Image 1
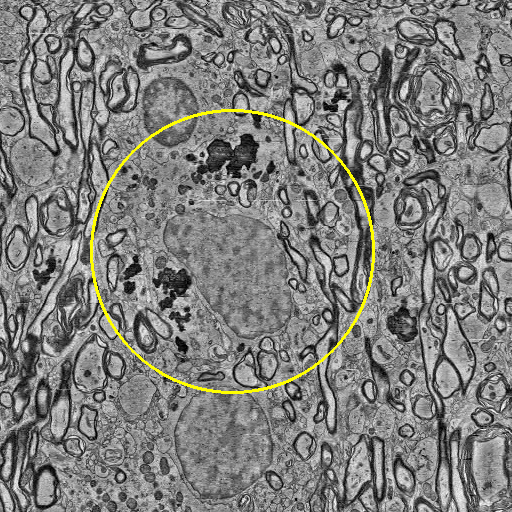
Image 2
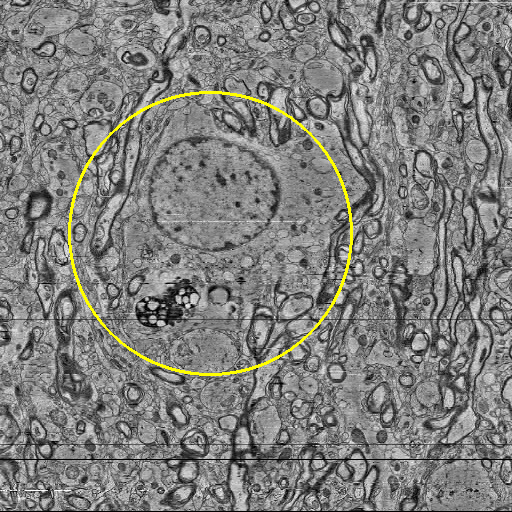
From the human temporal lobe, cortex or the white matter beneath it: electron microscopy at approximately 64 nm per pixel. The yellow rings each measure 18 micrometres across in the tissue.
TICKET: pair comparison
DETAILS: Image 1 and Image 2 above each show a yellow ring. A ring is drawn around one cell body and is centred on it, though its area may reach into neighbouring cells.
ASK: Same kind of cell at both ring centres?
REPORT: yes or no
no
